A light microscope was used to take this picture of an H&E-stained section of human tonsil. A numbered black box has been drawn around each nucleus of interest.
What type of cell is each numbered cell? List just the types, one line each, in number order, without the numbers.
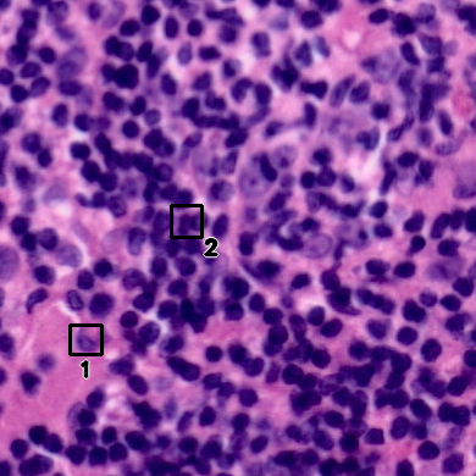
endothelial cell
small lymphocyte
